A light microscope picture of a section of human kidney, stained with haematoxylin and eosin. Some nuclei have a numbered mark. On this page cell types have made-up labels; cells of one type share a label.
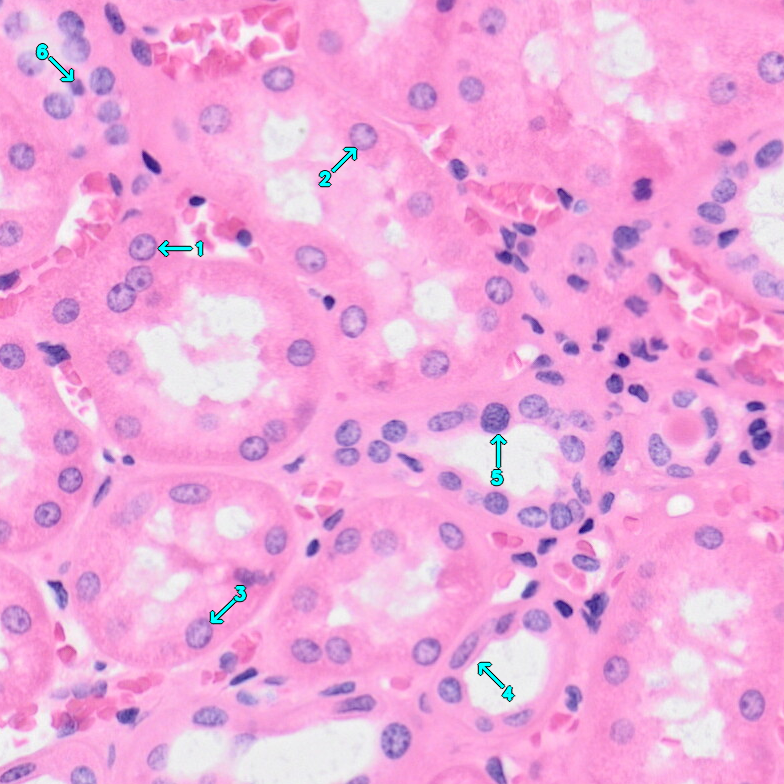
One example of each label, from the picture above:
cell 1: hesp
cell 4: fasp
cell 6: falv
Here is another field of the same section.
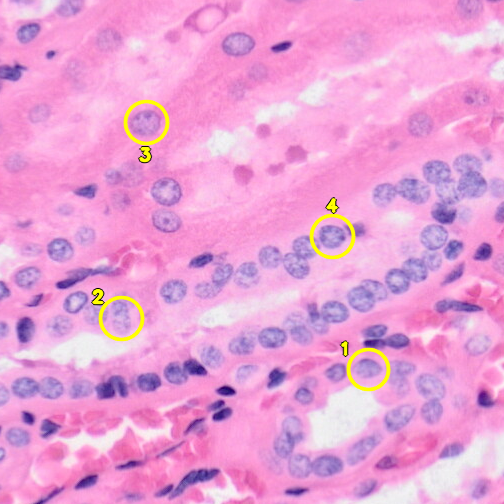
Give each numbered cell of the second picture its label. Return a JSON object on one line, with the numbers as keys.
{"1": "fasp", "2": "fasp", "3": "hesp", "4": "fasp"}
